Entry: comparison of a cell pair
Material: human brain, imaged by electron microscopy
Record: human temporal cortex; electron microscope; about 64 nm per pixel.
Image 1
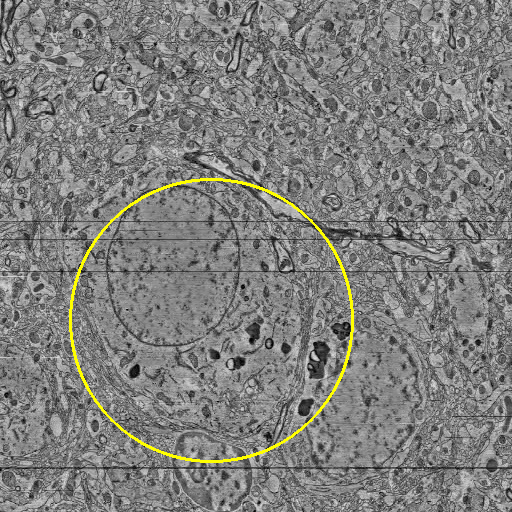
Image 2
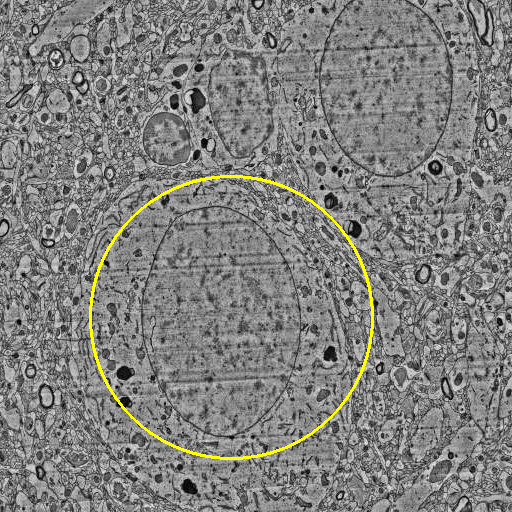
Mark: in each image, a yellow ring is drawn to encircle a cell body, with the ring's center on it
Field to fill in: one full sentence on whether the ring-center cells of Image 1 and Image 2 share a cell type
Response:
Yes, Image 1 and Image 2 each show a ring-center cell of one shared type.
